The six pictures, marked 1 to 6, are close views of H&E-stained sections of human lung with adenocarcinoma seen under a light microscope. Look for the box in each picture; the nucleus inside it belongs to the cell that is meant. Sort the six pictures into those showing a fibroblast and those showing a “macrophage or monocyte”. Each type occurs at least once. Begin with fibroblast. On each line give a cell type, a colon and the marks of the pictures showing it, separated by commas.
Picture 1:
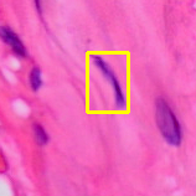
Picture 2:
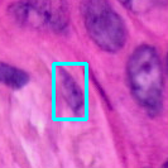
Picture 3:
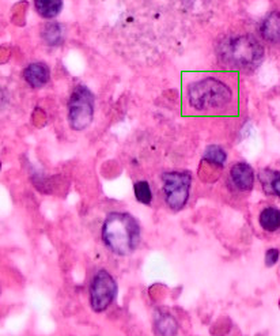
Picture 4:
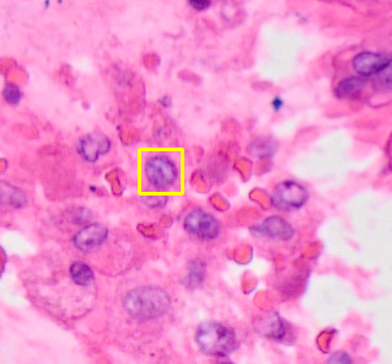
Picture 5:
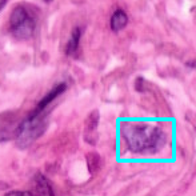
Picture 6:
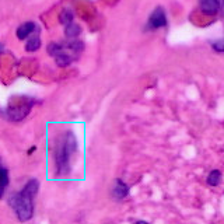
fibroblast: 1, 2, 5, 6
macrophage or monocyte: 3, 4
